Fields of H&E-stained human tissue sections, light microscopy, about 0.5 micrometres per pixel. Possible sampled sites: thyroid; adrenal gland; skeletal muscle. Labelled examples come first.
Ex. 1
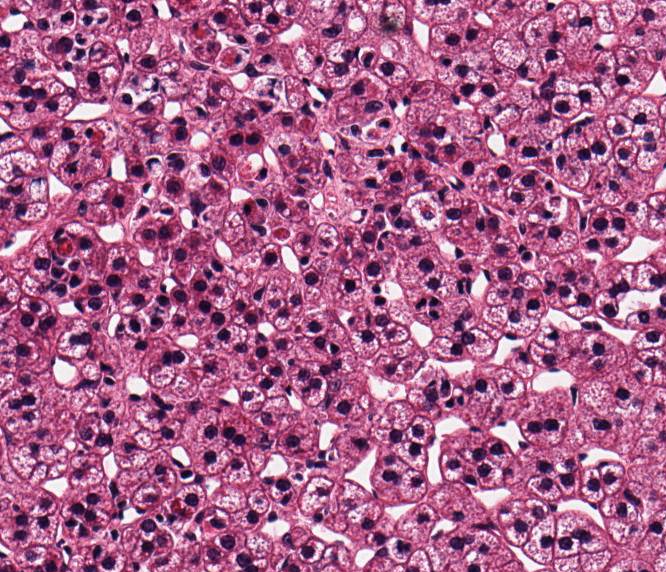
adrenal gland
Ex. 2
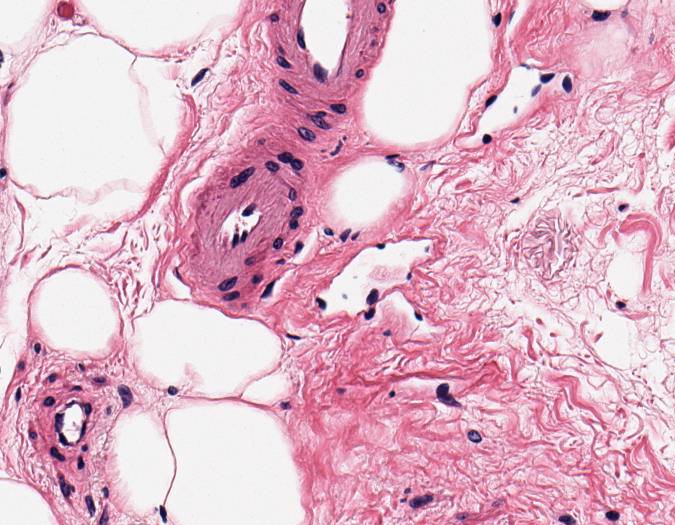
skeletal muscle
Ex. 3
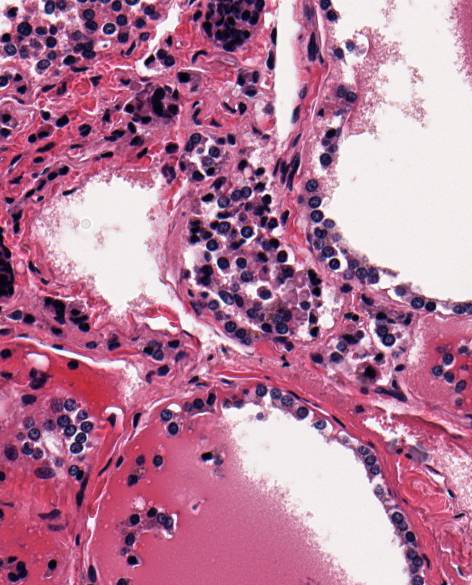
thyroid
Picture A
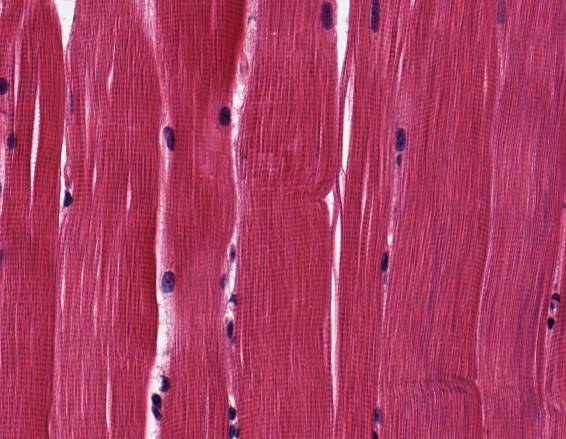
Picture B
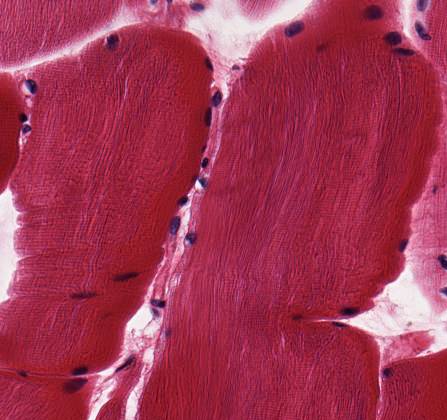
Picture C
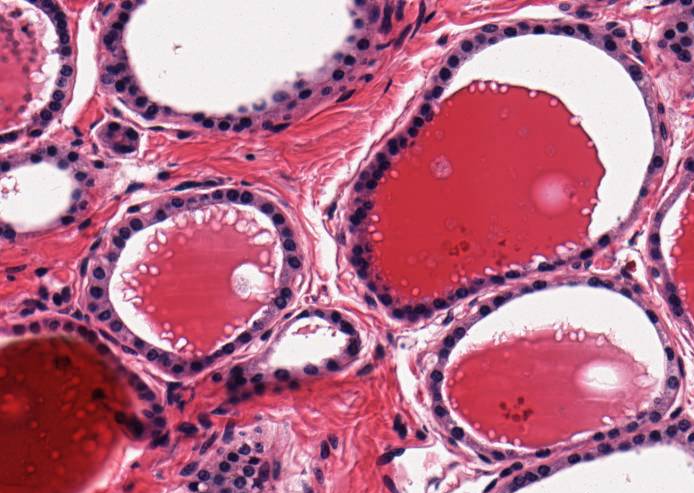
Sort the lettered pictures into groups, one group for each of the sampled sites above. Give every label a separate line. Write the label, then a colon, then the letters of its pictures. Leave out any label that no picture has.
thyroid: C
skeletal muscle: A, B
